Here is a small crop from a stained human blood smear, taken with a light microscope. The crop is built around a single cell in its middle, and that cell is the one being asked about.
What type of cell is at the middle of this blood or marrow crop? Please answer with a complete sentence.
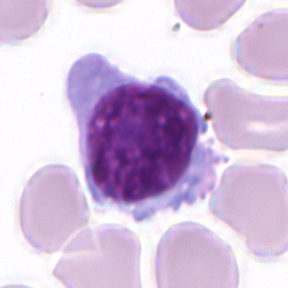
At the center of the crop sits a plasma cell.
